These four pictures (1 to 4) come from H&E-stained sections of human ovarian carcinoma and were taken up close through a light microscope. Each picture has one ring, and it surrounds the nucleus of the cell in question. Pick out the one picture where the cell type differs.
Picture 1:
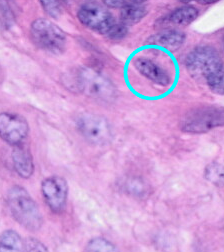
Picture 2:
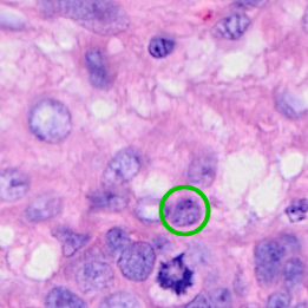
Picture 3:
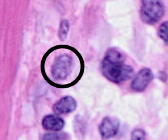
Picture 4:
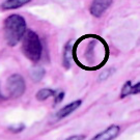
4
